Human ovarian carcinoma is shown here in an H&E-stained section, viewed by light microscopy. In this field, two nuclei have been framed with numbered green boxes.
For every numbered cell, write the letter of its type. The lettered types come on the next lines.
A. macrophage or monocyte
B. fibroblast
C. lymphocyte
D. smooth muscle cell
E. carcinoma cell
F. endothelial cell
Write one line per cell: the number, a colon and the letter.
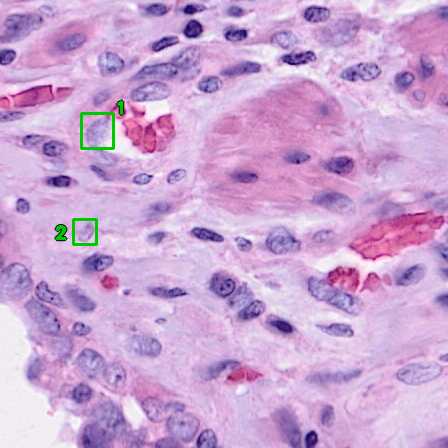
1: F
2: B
